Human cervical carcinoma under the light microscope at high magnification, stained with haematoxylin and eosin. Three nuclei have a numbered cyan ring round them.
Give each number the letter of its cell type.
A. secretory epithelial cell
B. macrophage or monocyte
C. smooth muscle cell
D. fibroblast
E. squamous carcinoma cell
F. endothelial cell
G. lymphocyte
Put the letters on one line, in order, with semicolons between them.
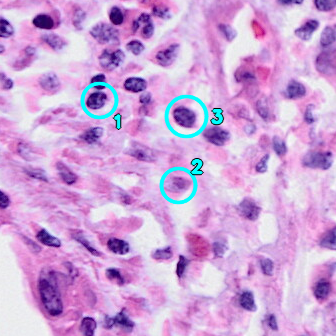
G; D; G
